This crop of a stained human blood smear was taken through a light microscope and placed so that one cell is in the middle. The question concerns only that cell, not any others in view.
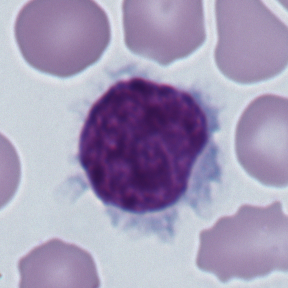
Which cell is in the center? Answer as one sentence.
Answering briefly, the cell in the middle is a hairy cell.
